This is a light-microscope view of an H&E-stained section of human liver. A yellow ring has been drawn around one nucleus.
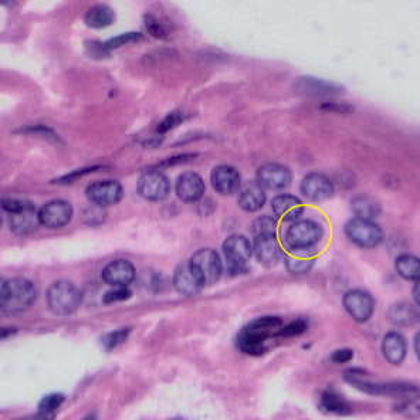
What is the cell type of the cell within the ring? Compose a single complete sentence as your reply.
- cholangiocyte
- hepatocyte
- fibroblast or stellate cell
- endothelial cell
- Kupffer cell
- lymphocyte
Recorded by type, the cell within the ring is a cholangiocyte.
